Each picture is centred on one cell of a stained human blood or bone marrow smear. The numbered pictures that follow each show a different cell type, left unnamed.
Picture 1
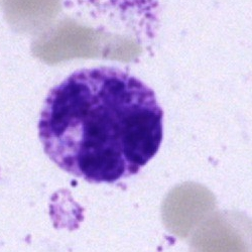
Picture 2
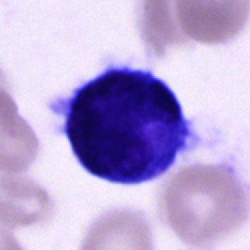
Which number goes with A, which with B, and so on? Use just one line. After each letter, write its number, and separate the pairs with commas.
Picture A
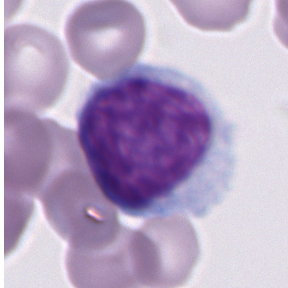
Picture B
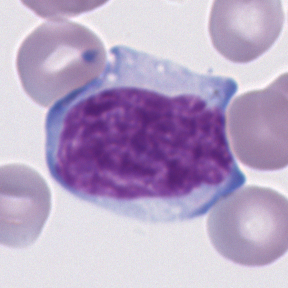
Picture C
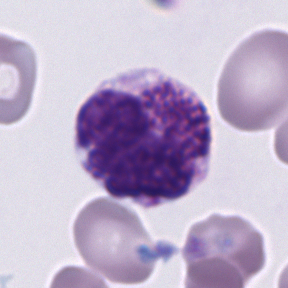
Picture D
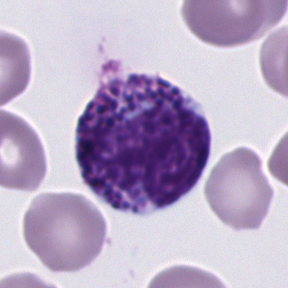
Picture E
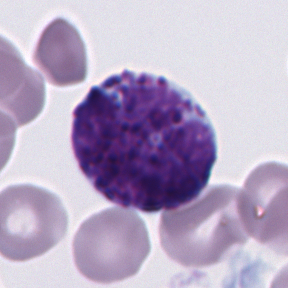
A 2, B 2, C 1, D 1, E 1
